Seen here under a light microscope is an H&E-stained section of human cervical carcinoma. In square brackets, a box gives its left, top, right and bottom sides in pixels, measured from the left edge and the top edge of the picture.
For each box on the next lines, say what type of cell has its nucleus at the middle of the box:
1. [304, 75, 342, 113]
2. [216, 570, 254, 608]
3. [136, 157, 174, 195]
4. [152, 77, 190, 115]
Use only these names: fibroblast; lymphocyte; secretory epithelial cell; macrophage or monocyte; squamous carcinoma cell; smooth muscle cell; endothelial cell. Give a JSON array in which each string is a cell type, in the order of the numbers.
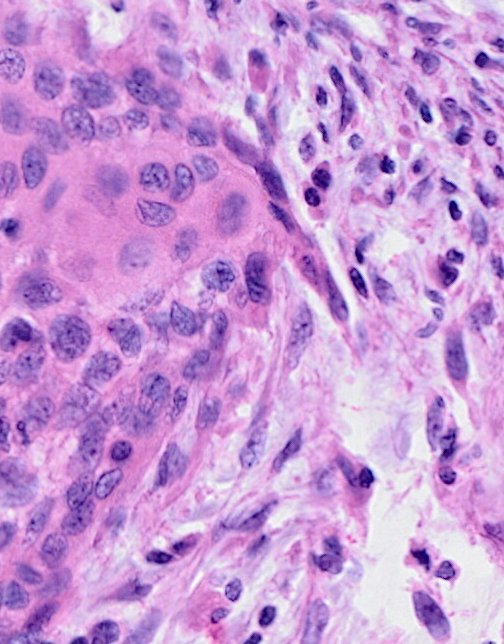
["lymphocyte", "lymphocyte", "squamous carcinoma cell", "squamous carcinoma cell"]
